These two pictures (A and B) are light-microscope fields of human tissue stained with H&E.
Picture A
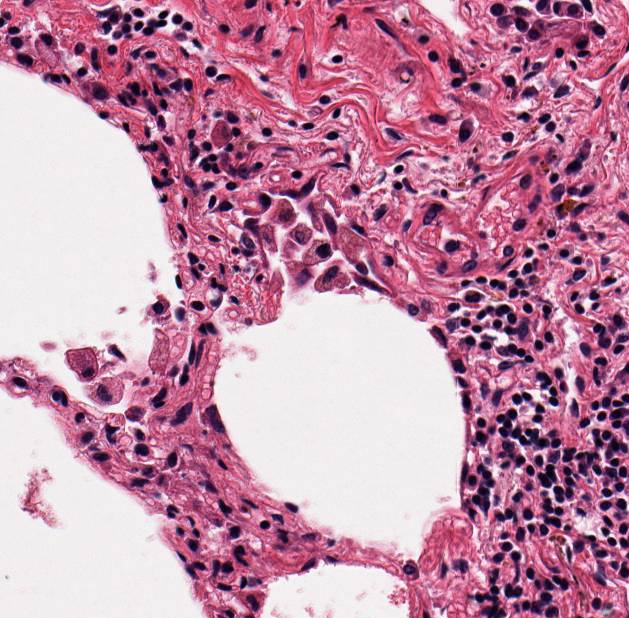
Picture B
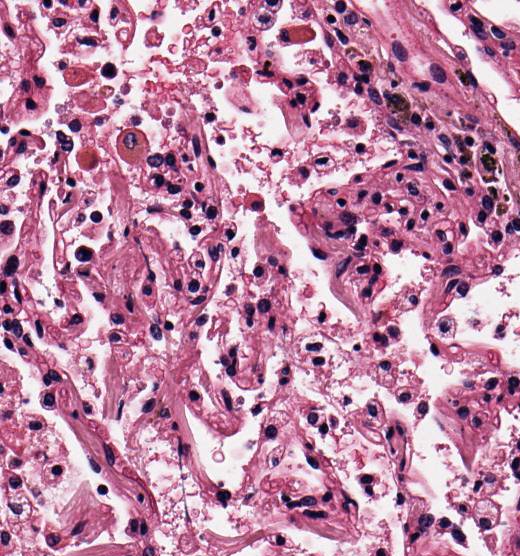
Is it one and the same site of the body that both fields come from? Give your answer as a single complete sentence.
Yes, they come from the same site of the body: both come from the lung.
